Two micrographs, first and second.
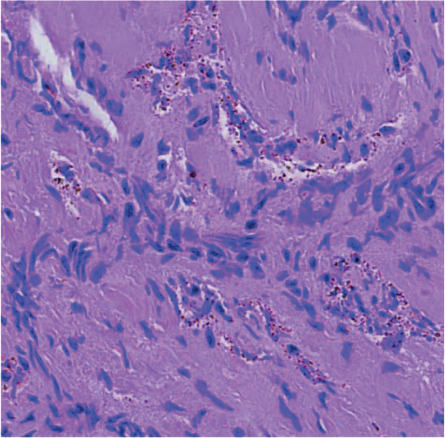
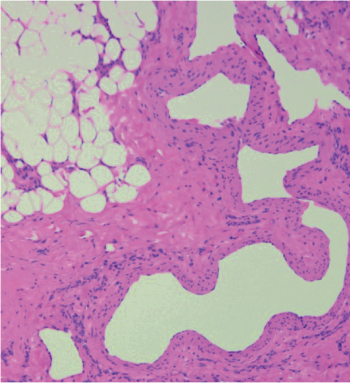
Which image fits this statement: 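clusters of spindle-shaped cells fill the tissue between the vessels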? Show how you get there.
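The first image. First image: dense elongated nuclei in bundles between narrow slit-like spaces. Second image: wide open channels lined by a thin cell layer, with no cellular spindle clusters.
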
